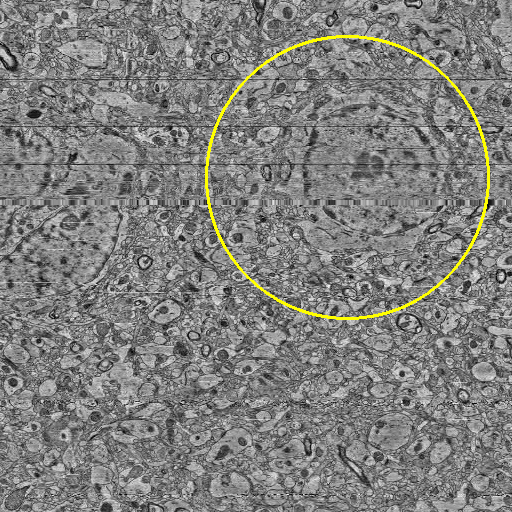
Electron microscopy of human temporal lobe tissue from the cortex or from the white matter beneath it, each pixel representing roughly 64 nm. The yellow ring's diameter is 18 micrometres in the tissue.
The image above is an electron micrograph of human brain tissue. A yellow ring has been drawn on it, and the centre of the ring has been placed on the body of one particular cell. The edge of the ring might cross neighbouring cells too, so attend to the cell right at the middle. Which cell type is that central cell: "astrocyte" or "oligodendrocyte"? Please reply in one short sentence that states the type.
The central cell in the ring is an astrocyte.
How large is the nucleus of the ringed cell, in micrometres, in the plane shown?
The nucleus has a long axis of about 10 micrometres and a short axis of about 8 micrometres in this plane.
